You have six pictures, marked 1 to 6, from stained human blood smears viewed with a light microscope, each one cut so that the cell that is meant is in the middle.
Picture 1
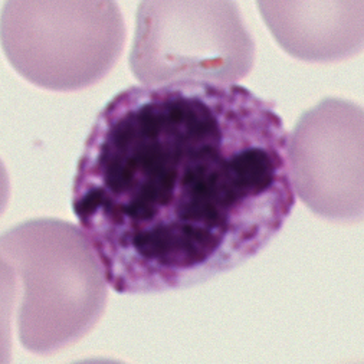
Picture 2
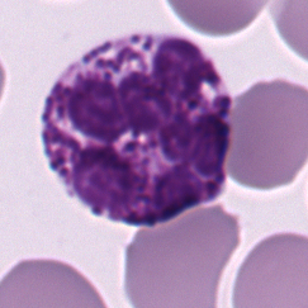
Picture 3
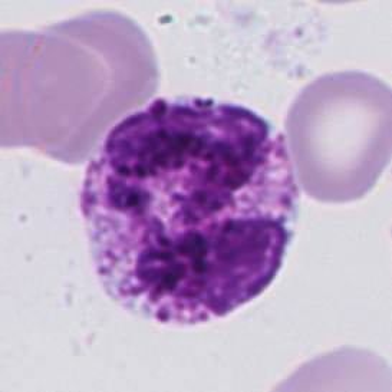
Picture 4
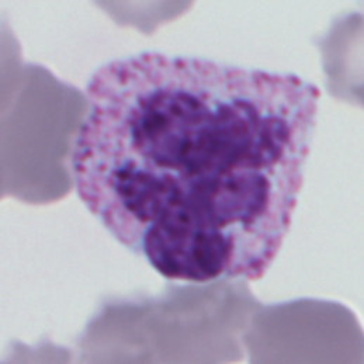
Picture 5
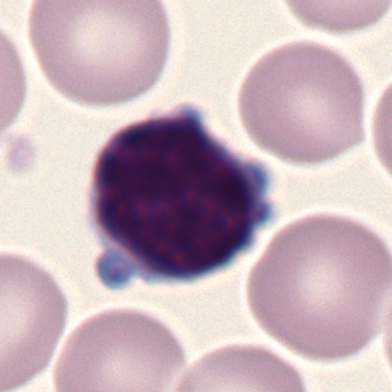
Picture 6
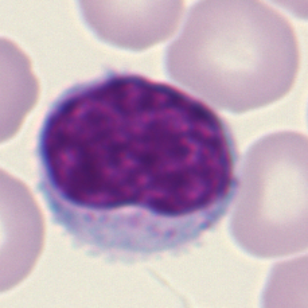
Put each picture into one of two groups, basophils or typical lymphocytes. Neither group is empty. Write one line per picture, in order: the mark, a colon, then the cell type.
1: basophil
2: basophil
3: basophil
4: basophil
5: typical lymphocyte
6: typical lymphocyte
